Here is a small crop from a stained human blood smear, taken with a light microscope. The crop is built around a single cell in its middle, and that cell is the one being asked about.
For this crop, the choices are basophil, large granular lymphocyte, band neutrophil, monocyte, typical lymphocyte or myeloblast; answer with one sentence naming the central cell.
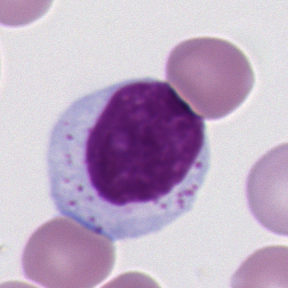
This crop is built around a large granular lymphocyte at its centre.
